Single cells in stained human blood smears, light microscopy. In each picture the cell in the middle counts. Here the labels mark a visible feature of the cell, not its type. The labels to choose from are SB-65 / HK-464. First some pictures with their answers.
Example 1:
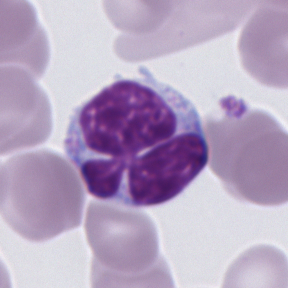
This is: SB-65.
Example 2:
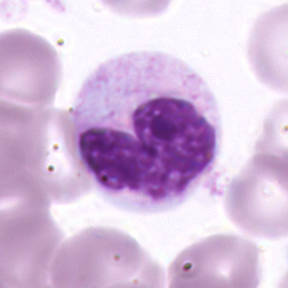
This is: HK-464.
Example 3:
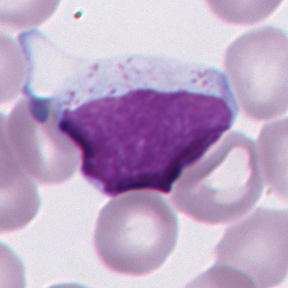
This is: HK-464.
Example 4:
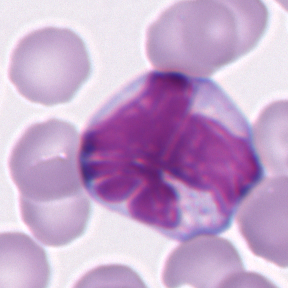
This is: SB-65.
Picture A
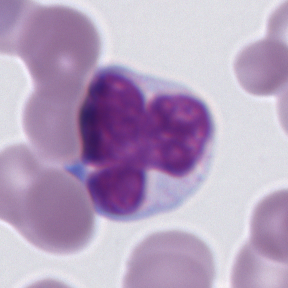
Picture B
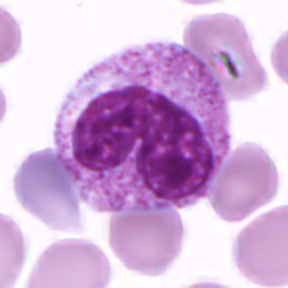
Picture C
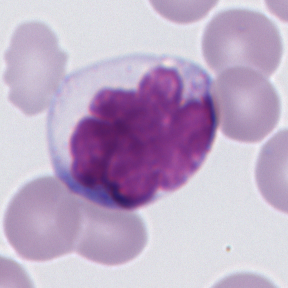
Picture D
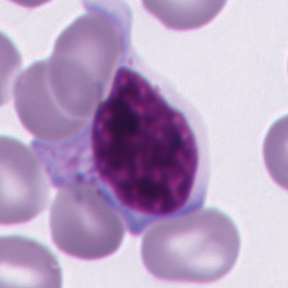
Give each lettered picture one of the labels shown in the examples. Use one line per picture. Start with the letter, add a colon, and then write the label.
A: SB-65.
B: SB-65.
C: SB-65.
D: HK-464.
